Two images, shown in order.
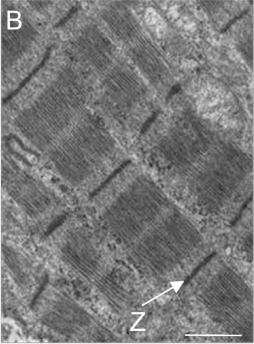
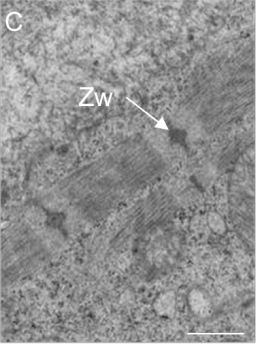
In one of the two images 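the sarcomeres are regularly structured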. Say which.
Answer: the first image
